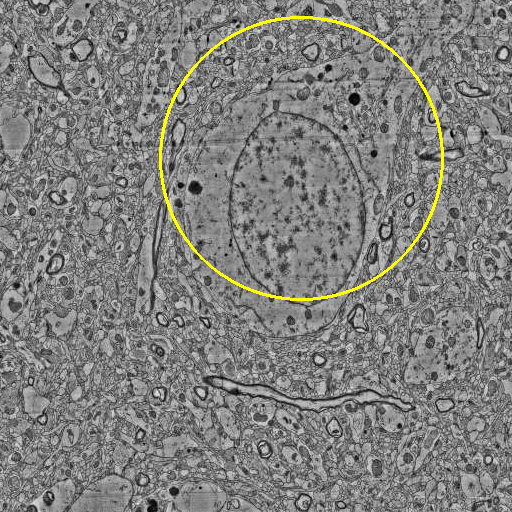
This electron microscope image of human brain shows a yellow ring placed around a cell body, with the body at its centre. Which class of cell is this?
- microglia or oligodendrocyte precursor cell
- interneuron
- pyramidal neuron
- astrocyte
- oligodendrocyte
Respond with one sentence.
The cell body at the ring's centre is a pyramidal neuron.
